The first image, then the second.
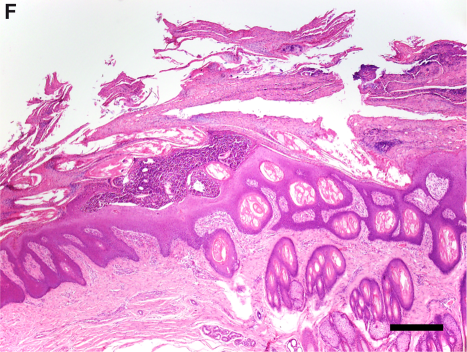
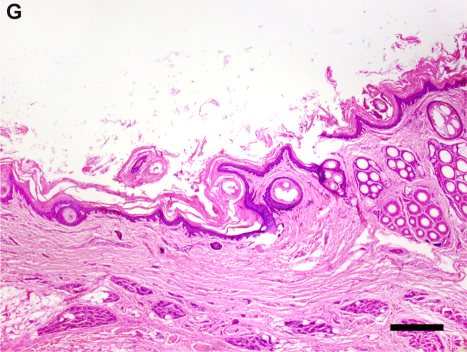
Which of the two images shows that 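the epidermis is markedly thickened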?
The first image.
